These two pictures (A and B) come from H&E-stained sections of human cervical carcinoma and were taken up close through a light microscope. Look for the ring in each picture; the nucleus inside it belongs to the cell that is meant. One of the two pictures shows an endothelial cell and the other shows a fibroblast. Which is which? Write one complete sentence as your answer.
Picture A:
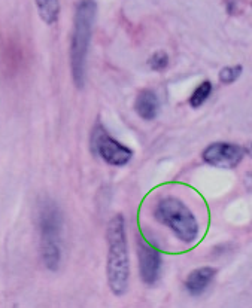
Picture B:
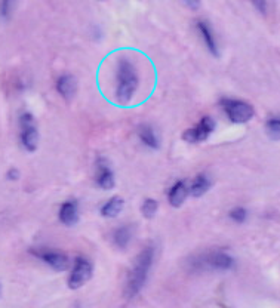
It is picture A that shows an endothelial cell, and picture B that shows a fibroblast.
